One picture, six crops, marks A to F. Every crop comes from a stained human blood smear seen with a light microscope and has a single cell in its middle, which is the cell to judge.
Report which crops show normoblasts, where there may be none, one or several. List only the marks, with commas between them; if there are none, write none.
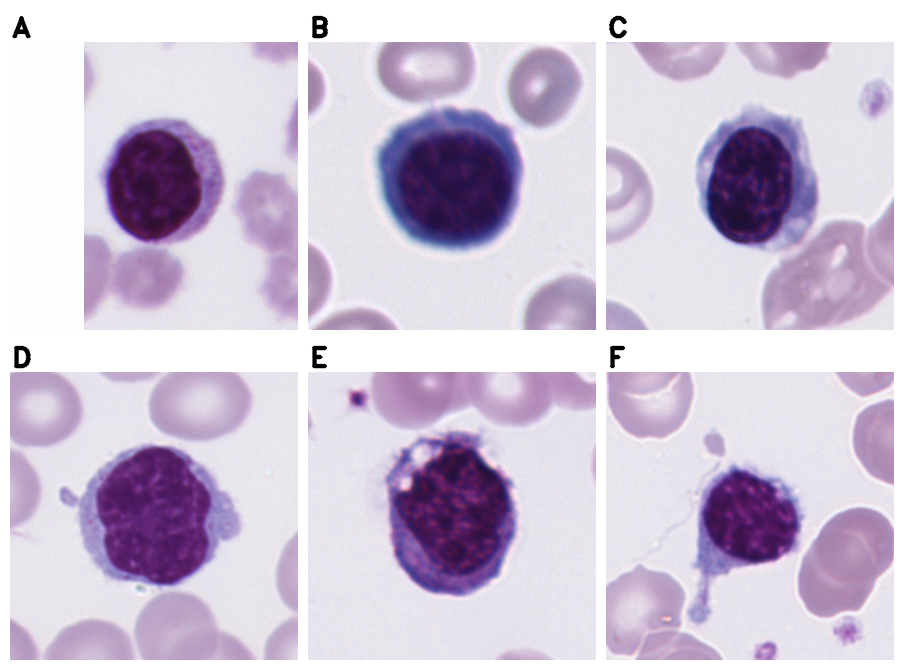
A, B, C, F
